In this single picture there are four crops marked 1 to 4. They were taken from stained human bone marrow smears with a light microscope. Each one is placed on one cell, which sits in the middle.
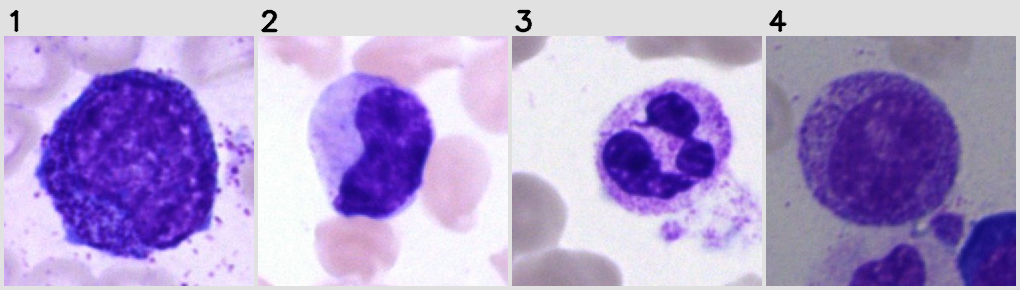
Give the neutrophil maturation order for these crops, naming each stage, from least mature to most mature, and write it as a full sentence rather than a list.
From youngest to most mature, the cells go crop 1 (a promyelocyte), crop 4 (a myelocyte), crop 2 (a metamyelocyte) and crop 3 (a segmented neutrophil).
